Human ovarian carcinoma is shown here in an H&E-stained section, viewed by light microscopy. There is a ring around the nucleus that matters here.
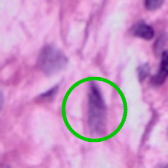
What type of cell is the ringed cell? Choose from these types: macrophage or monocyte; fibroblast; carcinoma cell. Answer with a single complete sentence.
The ringed cell is a fibroblast.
